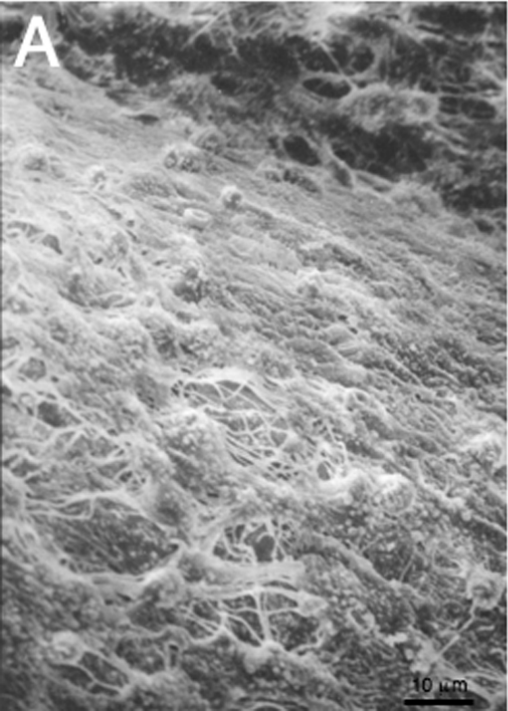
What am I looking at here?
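The cells are long and spindle-shaped and lie overlapping one another, so the surface is rough and layered rather than flat. Fine thread-like processes stretch across and between the cells, giving a fibrous, meshwork look. Small rounded bumps are scattered among the elongated cell bodies.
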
